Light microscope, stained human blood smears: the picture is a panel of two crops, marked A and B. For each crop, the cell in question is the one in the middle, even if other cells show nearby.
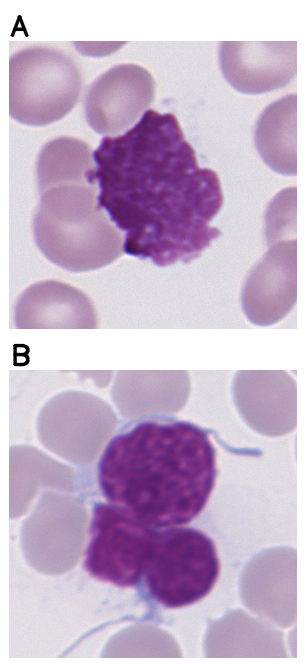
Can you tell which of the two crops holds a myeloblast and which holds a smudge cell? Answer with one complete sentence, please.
Crop A is occupied by a smudge cell, and crop B is occupied by a myeloblast.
